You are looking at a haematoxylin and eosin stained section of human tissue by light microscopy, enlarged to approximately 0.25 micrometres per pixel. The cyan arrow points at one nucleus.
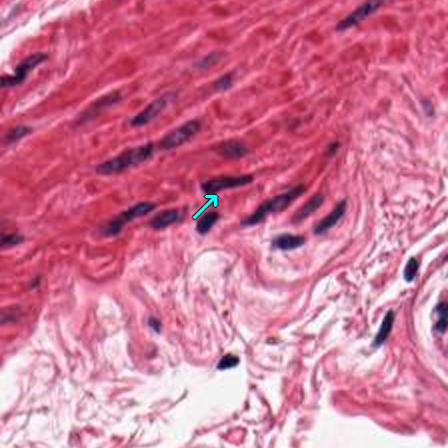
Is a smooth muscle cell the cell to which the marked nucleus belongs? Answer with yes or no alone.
yes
